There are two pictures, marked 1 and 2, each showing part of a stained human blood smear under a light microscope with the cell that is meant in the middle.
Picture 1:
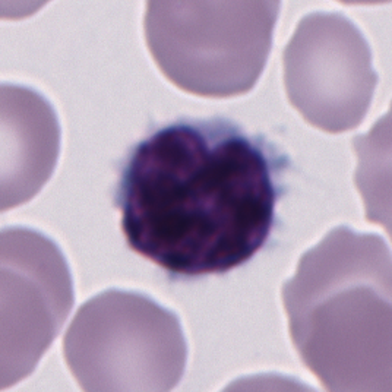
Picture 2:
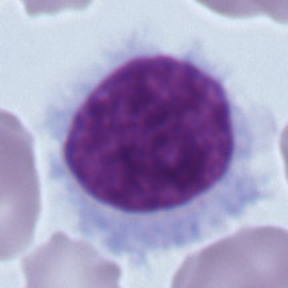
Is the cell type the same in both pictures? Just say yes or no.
yes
